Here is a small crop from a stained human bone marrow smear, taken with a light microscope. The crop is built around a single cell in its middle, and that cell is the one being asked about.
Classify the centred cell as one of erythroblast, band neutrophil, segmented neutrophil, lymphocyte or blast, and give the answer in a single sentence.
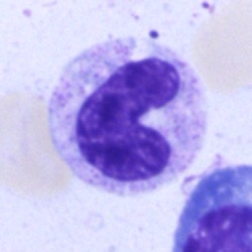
The cell found in the middle of this crop is a band neutrophil.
